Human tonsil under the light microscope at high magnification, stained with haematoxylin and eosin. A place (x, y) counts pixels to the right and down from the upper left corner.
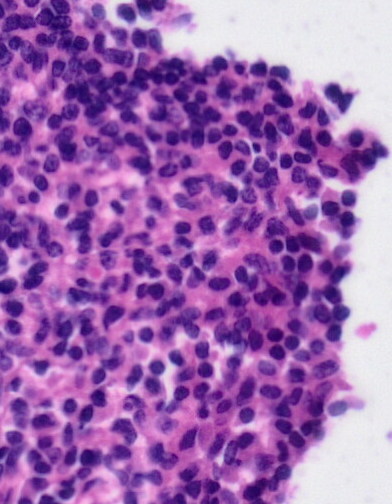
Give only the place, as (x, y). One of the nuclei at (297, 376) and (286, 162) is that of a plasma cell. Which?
(297, 376)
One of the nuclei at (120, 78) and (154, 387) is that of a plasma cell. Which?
(154, 387)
